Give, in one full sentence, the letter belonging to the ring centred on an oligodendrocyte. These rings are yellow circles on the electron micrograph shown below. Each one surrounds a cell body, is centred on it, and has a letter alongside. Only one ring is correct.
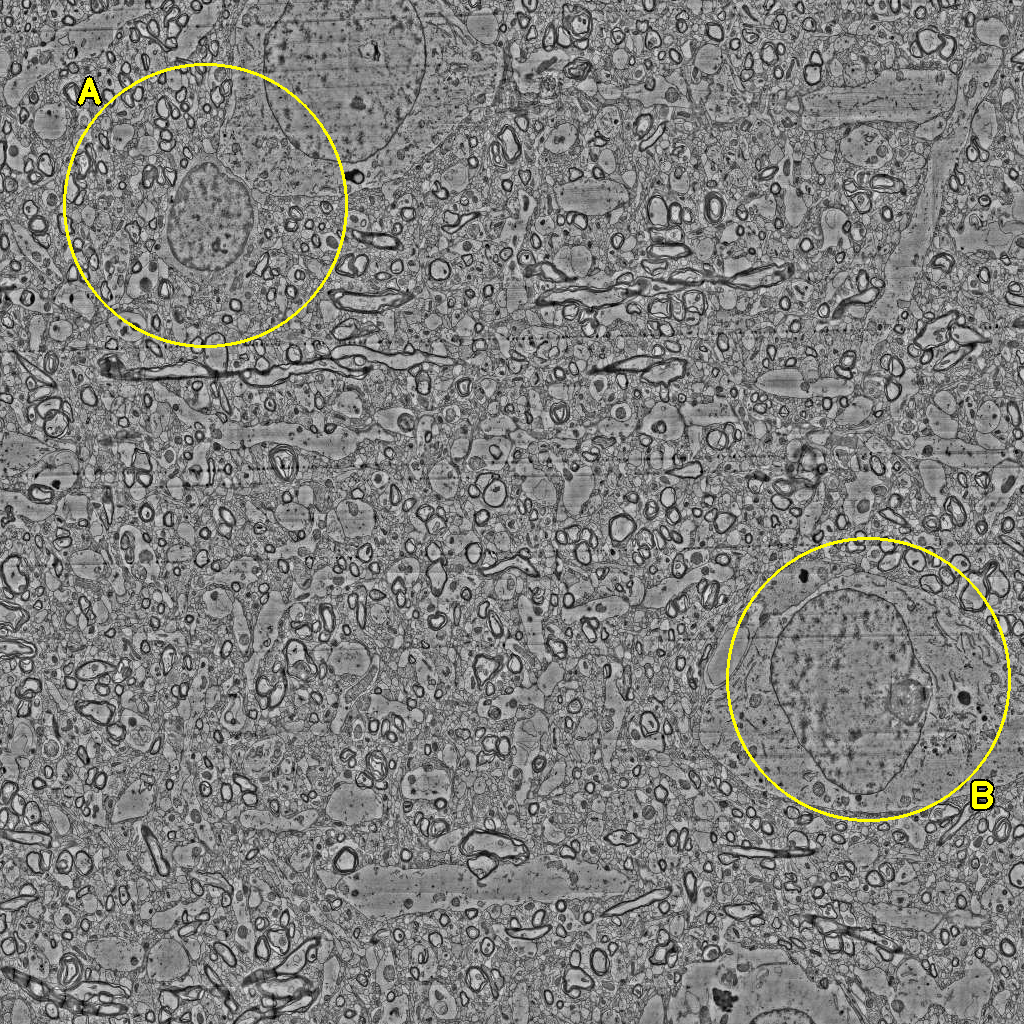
My answer is A, the ring centred on the cell asked for.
